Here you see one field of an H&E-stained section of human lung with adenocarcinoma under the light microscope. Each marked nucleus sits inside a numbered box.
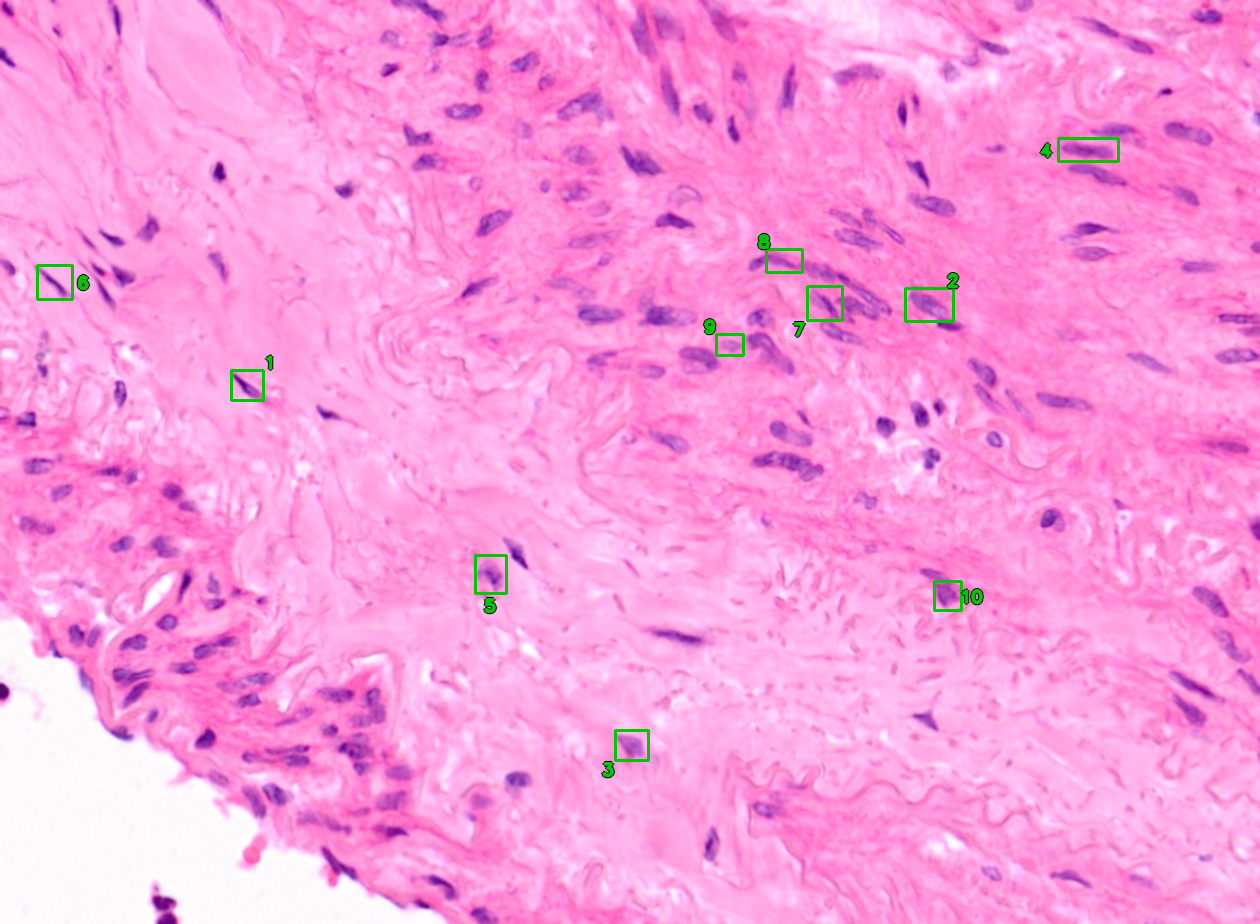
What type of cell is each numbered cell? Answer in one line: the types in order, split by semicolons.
fibroblast; smooth muscle cell or pericyte; fibroblast; smooth muscle cell or pericyte; fibroblast; fibroblast; smooth muscle cell or pericyte; smooth muscle cell or pericyte; smooth muscle cell or pericyte; smooth muscle cell or pericyte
